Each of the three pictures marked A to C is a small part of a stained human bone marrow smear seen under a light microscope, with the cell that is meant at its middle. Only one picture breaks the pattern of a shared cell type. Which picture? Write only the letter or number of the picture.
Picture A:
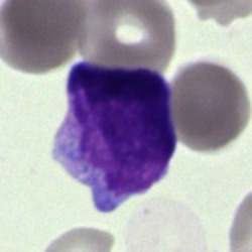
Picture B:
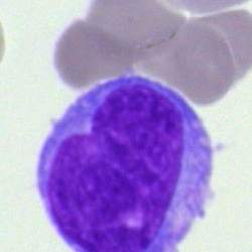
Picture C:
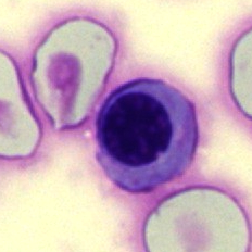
C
